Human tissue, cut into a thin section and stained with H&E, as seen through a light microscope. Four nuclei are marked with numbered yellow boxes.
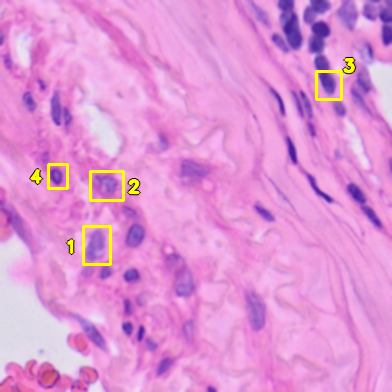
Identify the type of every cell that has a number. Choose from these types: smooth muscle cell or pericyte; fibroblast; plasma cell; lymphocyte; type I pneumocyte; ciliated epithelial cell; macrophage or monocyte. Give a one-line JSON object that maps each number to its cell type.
{"1": "smooth muscle cell or pericyte", "2": "smooth muscle cell or pericyte", "3": "lymphocyte", "4": "smooth muscle cell or pericyte"}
